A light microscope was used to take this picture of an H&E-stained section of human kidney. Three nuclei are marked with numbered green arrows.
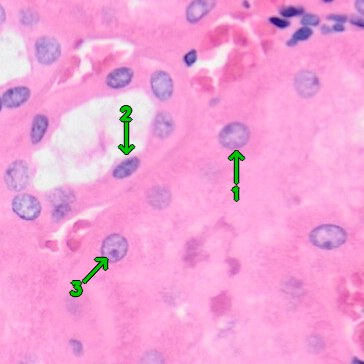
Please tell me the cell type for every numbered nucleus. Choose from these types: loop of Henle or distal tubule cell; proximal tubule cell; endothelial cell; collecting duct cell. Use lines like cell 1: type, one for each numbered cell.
cell 1: proximal tubule cell
cell 2: loop of Henle or distal tubule cell
cell 3: proximal tubule cell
